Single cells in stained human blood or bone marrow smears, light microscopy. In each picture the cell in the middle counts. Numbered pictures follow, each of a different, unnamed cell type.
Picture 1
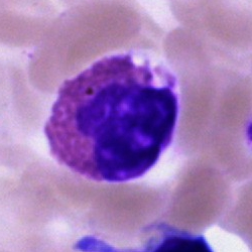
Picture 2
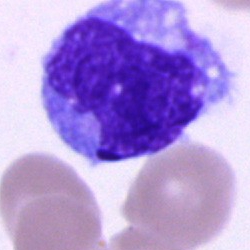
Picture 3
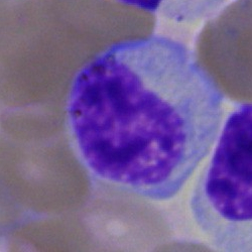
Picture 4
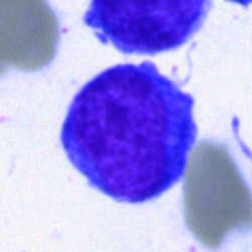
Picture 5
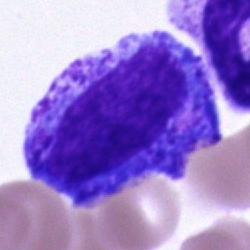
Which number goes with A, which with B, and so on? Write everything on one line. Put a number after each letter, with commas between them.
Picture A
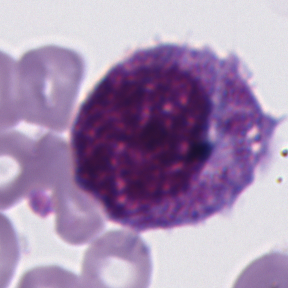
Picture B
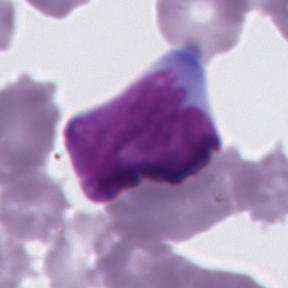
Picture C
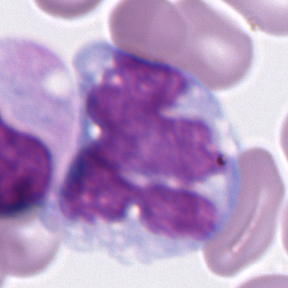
A 5, B 4, C 2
